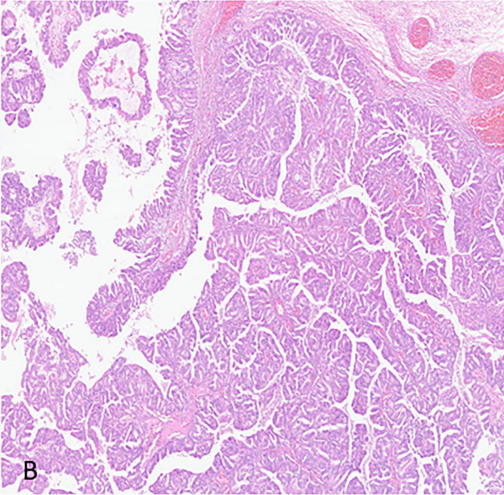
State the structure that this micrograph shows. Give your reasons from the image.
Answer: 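Thick, complex papillae. Densely packed, branching papillary fronds with thin fibrovascular cores. Fronds interconnect into a complex arborizing pattern.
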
